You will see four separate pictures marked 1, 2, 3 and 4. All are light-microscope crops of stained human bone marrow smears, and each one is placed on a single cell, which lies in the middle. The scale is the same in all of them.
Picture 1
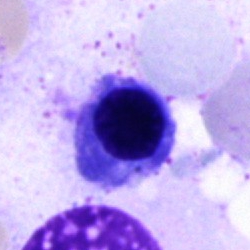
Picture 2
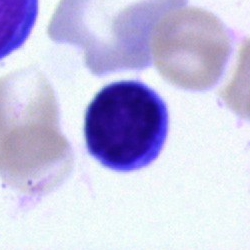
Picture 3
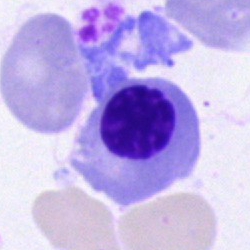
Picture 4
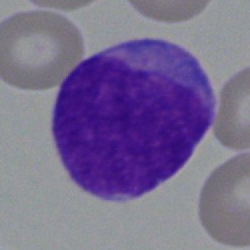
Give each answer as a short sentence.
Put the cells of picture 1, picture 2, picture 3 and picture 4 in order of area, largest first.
Going down, they run 4, 3, 1, 2.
